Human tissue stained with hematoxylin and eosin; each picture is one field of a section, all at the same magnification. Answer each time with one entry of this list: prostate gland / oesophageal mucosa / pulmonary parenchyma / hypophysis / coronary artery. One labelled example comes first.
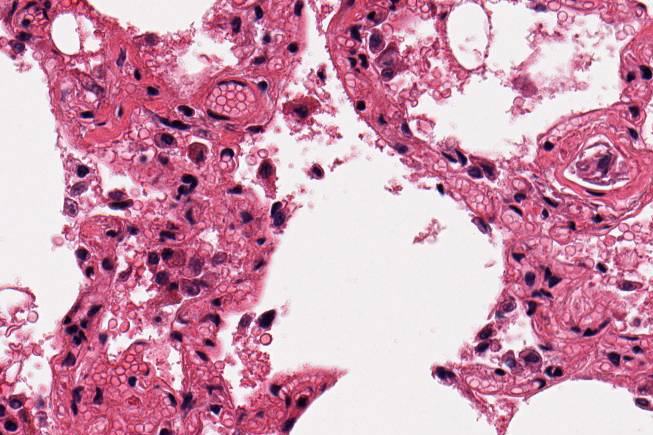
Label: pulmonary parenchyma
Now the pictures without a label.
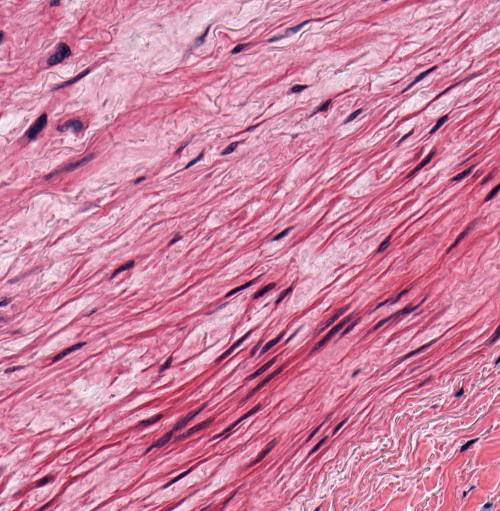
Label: coronary artery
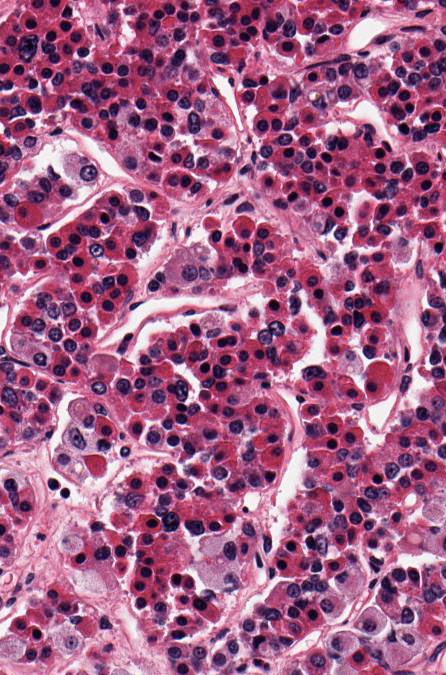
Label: hypophysis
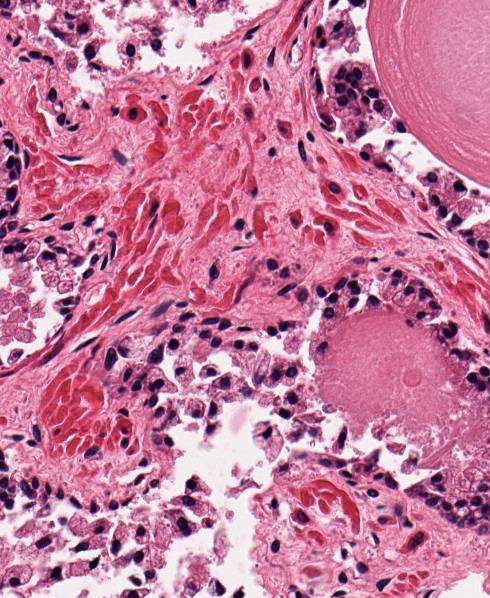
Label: prostate gland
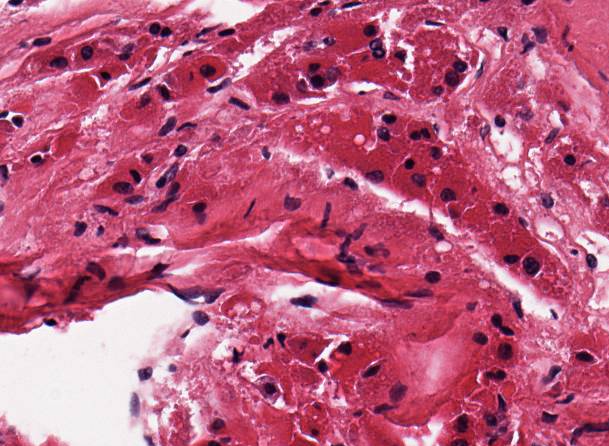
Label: hypophysis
